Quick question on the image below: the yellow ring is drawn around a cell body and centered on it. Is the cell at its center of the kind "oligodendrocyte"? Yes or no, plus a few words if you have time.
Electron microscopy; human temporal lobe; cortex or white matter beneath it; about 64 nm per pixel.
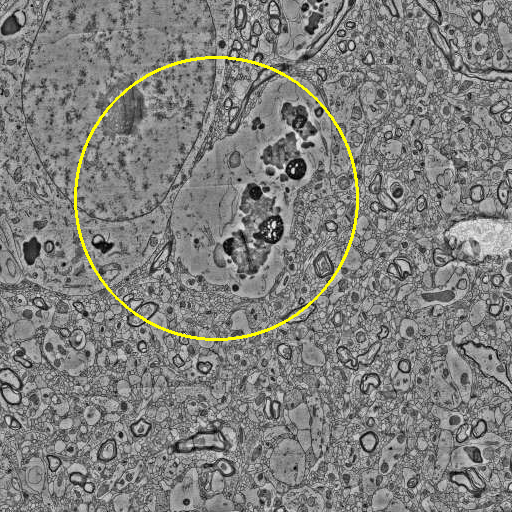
No, the cell at the center is of another kind.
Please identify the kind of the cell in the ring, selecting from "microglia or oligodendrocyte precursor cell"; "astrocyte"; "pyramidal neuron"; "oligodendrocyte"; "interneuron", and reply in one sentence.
Instead, the ring surrounds an astrocyte in this picture.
